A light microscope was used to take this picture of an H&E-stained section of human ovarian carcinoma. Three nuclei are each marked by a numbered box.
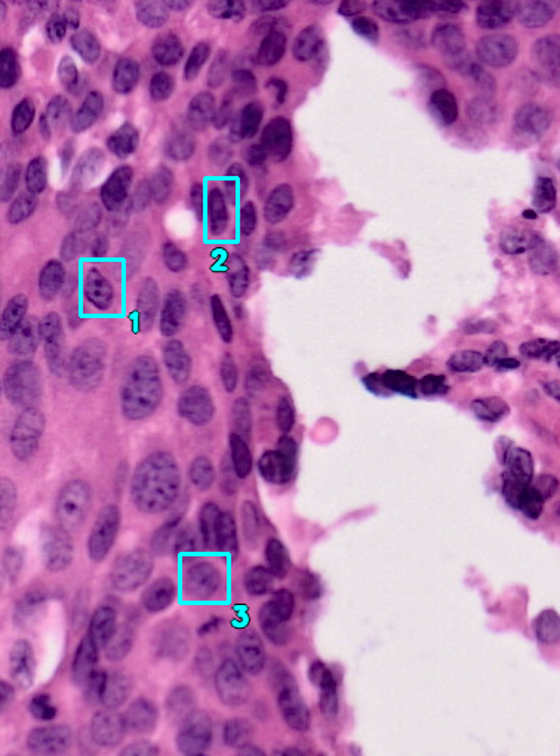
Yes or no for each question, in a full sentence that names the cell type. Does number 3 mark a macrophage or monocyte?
No, number 3 is assigned to a carcinoma cell, not to a macrophage or monocyte.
